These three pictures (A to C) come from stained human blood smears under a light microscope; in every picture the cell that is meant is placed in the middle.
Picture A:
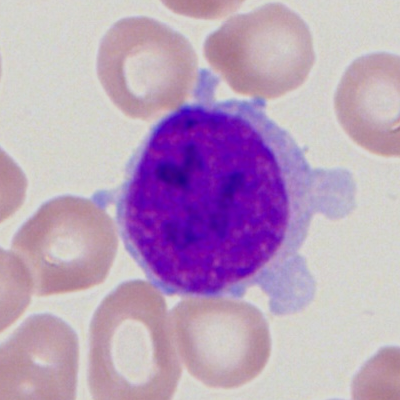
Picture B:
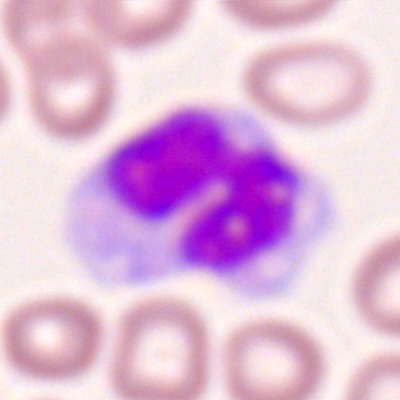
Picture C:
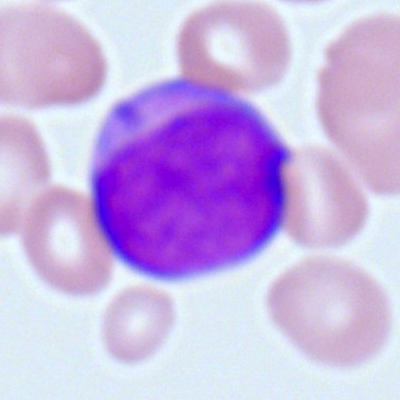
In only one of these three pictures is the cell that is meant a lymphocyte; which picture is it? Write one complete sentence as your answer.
The lymphocyte is the one in picture A.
